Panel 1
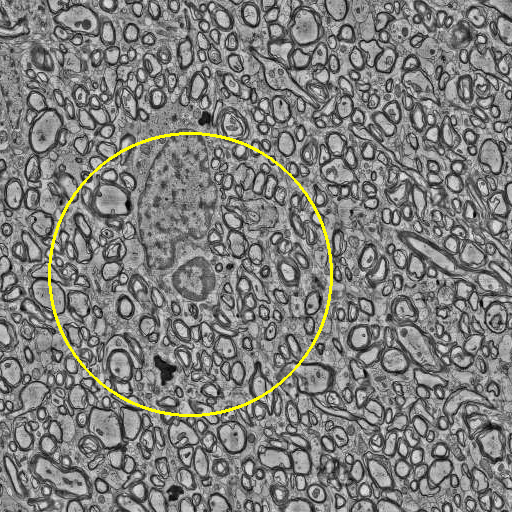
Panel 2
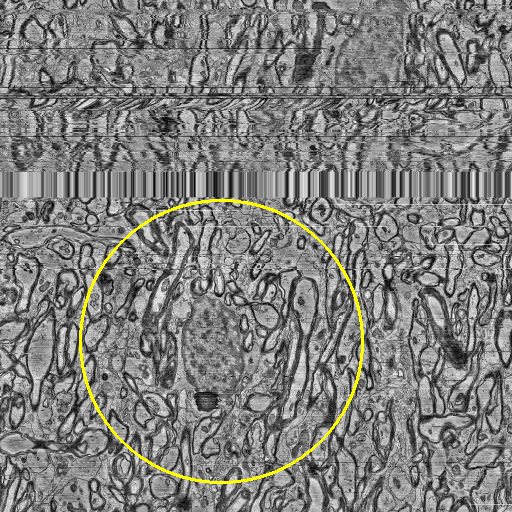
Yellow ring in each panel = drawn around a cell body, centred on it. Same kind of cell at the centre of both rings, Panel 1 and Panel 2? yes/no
no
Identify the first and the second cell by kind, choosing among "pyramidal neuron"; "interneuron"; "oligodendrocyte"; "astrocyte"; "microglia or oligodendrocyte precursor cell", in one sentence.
The one in the first picture is a microglial cell or oligodendrocyte precursor cell, while the one in the second is an oligodendrocyte.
